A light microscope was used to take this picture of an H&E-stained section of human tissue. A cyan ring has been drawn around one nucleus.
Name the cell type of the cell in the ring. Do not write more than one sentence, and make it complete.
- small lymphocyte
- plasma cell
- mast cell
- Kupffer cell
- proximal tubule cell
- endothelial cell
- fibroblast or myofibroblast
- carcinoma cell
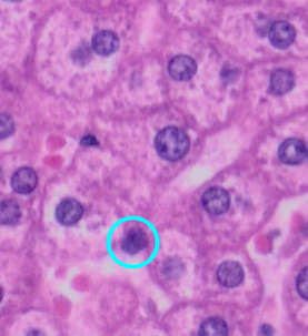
With respect to cell type, the cell in the ring is an endothelial cell.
